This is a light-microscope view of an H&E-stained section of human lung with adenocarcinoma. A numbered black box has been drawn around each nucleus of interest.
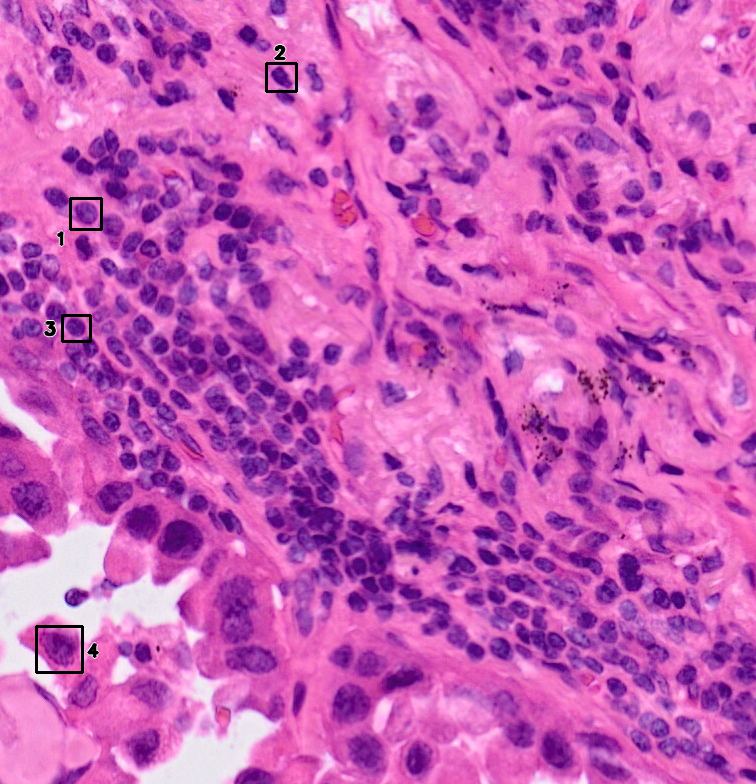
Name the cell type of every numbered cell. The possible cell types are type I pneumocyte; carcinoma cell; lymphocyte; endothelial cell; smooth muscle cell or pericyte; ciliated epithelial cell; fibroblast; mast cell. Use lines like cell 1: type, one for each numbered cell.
cell 1: lymphocyte
cell 2: lymphocyte
cell 3: lymphocyte
cell 4: carcinoma cell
